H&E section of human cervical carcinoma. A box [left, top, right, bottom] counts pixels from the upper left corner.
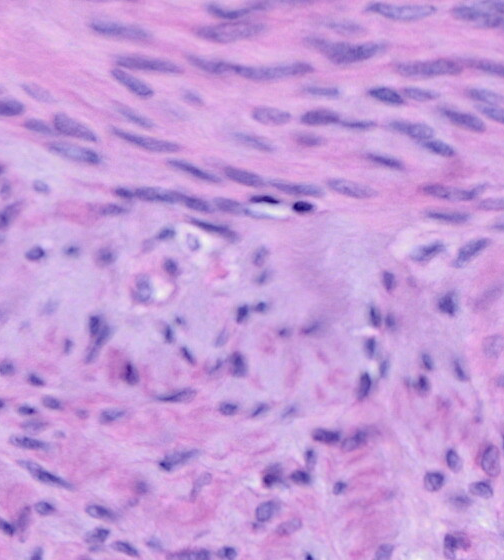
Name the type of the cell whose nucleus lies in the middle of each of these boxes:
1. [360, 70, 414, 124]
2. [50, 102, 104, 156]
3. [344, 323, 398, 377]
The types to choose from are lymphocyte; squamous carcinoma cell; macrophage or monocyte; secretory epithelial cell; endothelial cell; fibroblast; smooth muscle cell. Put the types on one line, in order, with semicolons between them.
fibroblast; smooth muscle cell; fibroblast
